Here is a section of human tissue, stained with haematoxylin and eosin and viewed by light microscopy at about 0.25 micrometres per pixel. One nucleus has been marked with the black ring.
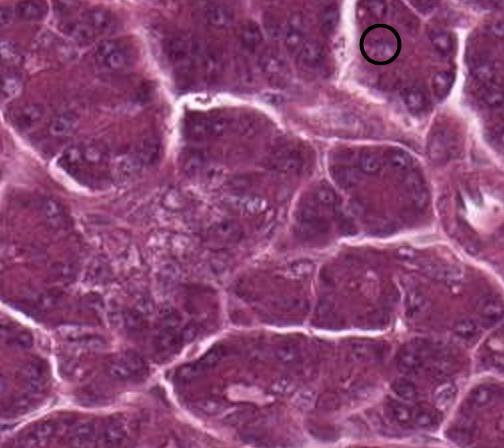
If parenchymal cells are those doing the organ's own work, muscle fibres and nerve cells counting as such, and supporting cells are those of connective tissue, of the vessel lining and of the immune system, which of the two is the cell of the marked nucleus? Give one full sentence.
The parenchymal cell with the marked nucleus is a pancreatic acinar cell.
